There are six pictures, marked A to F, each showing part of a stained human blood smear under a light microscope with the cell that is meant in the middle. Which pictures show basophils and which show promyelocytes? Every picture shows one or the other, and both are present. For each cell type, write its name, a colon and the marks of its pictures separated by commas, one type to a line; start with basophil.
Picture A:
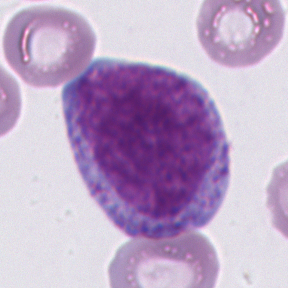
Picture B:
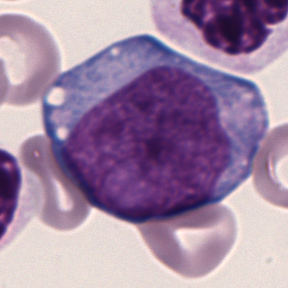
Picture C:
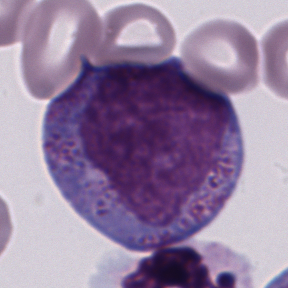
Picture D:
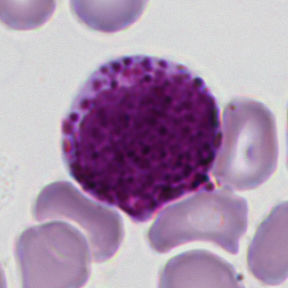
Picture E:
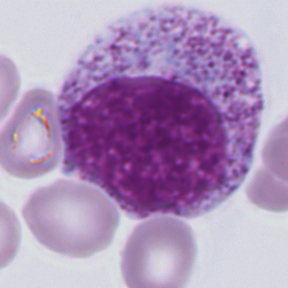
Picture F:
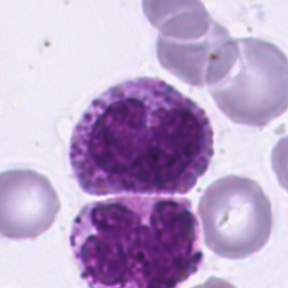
basophil: D, F
promyelocyte: A, B, C, E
